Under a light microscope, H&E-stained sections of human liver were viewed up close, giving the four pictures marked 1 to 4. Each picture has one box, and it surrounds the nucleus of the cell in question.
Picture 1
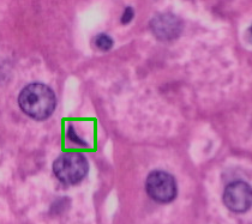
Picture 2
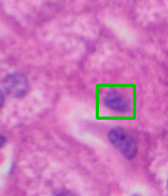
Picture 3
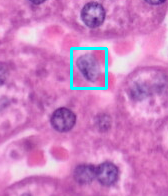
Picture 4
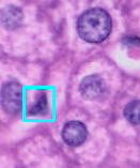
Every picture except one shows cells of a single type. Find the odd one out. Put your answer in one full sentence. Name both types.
Picture 2 is the odd one out: it shows a “fibroblast or stellate cell”, while the others show endothelial cells.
